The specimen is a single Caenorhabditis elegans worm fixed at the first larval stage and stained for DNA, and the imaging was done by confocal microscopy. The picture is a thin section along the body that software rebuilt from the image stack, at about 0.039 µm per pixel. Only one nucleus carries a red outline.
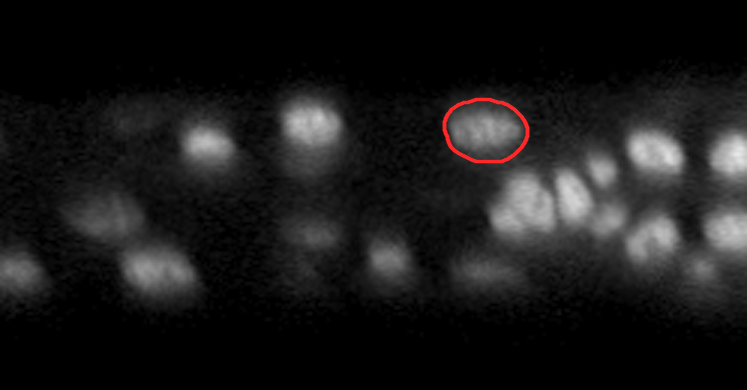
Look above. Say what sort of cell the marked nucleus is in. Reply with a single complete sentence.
It belongs to a hypodermal cell (hyp).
